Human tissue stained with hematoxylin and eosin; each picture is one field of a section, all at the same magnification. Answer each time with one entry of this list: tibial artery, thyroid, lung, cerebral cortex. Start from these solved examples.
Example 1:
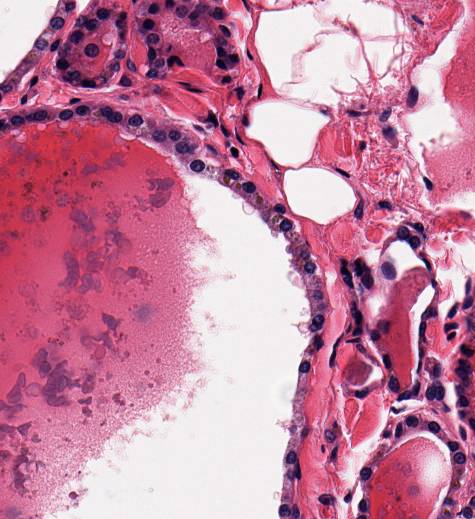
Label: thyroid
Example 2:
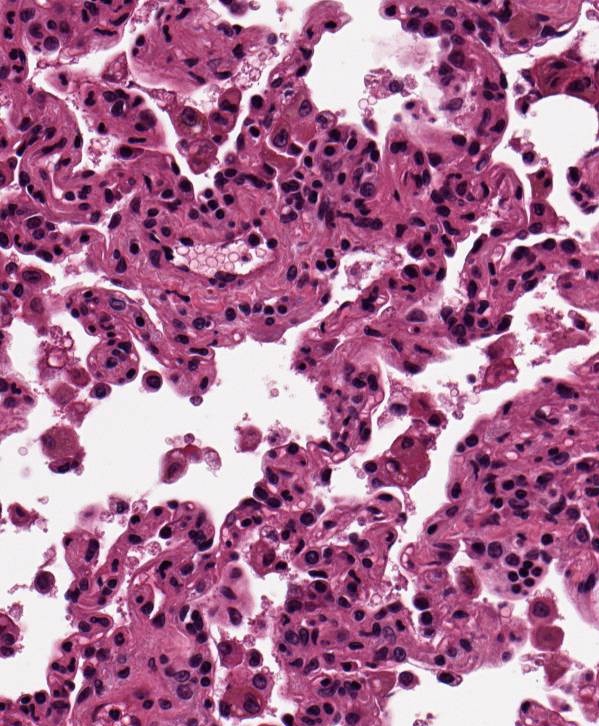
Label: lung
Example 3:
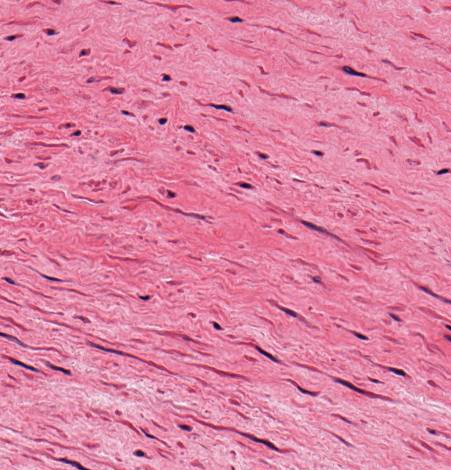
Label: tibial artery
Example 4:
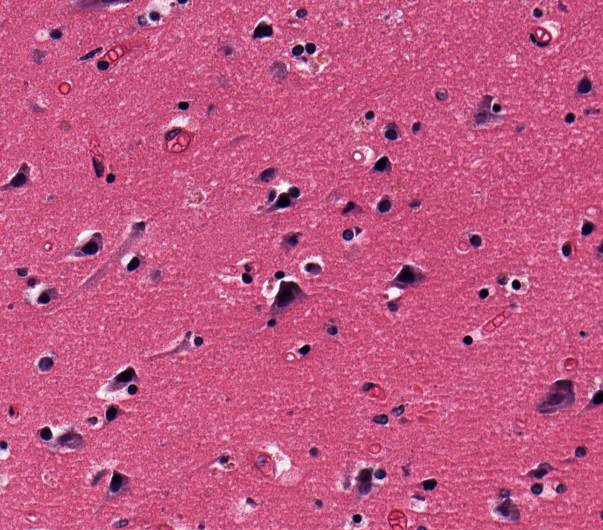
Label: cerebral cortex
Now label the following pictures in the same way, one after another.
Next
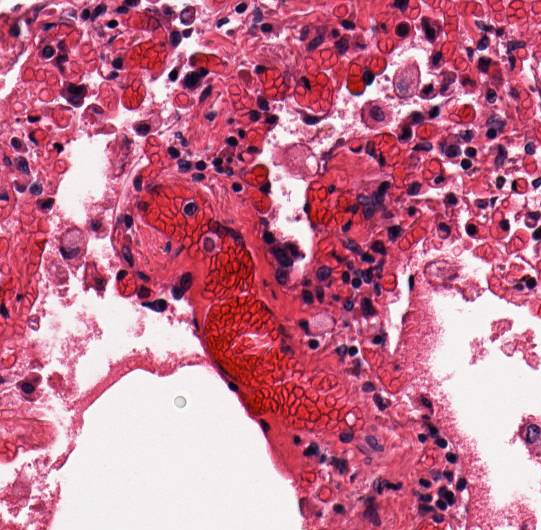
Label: lung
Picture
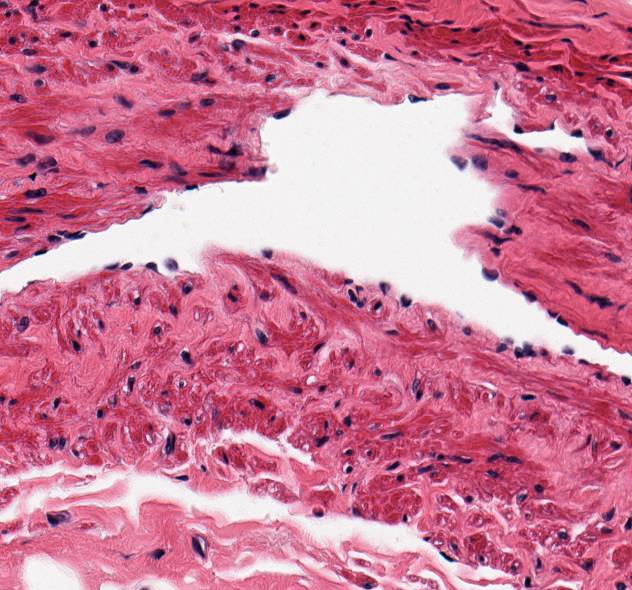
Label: tibial artery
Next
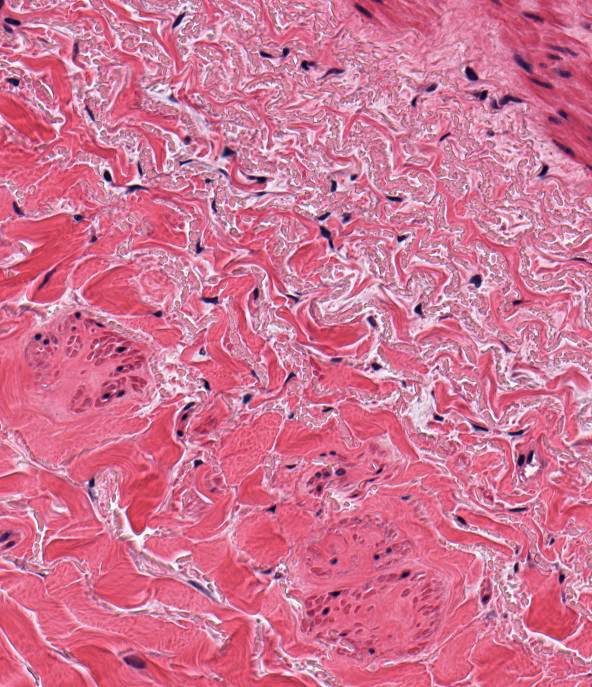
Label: tibial artery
